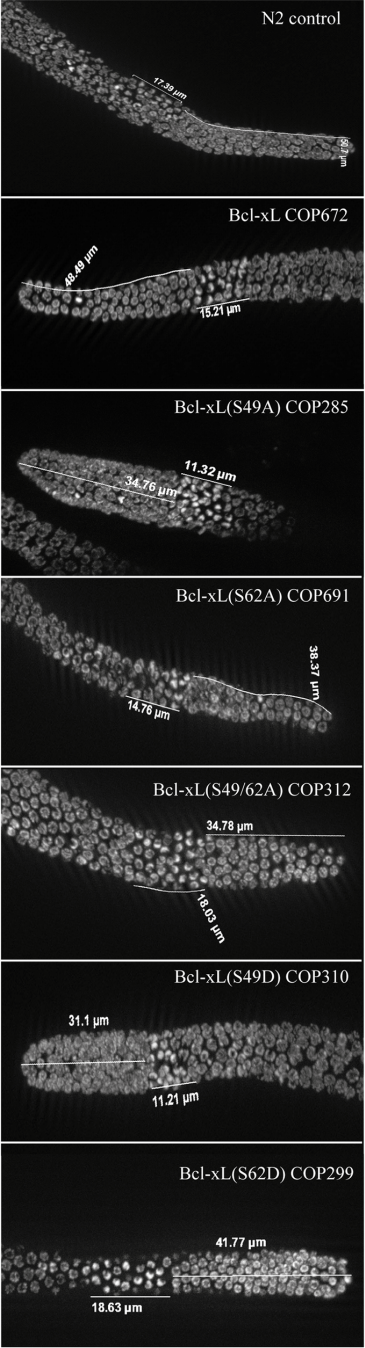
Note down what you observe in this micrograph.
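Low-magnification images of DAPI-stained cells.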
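Distal arms of gonads, seen as tubes filled with densely packed, small round germline nuclei in rows. Toward the rounded tip the nuclei are evenly spaced and round. Further along lies a shorter stretch where the nuclei are crowded and brighter, and white lines mark the lengths of these zones.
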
